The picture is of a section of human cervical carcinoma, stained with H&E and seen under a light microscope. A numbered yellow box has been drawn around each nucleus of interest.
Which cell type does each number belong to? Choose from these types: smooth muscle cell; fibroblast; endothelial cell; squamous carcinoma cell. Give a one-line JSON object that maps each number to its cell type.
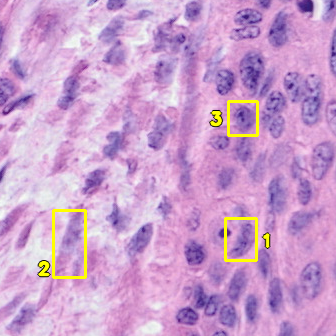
{"1": "squamous carcinoma cell", "2": "fibroblast", "3": "squamous carcinoma cell"}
